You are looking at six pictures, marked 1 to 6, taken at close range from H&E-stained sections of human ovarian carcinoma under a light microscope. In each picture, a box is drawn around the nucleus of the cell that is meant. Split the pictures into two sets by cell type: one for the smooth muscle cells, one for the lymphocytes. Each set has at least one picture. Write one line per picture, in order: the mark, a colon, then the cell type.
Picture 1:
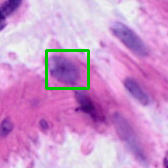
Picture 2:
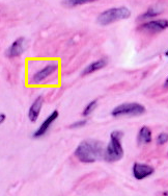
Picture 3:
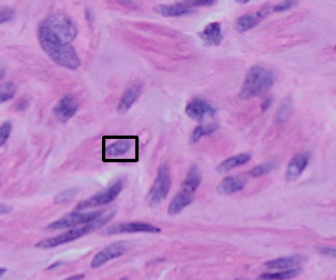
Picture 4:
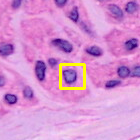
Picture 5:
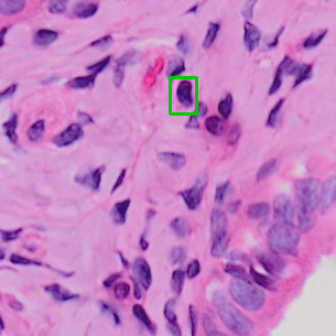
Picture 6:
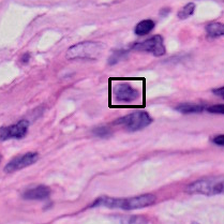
1: smooth muscle cell
2: smooth muscle cell
3: smooth muscle cell
4: smooth muscle cell
5: lymphocyte
6: lymphocyte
